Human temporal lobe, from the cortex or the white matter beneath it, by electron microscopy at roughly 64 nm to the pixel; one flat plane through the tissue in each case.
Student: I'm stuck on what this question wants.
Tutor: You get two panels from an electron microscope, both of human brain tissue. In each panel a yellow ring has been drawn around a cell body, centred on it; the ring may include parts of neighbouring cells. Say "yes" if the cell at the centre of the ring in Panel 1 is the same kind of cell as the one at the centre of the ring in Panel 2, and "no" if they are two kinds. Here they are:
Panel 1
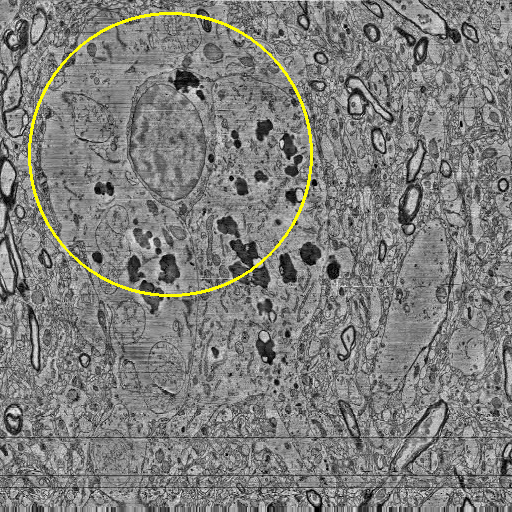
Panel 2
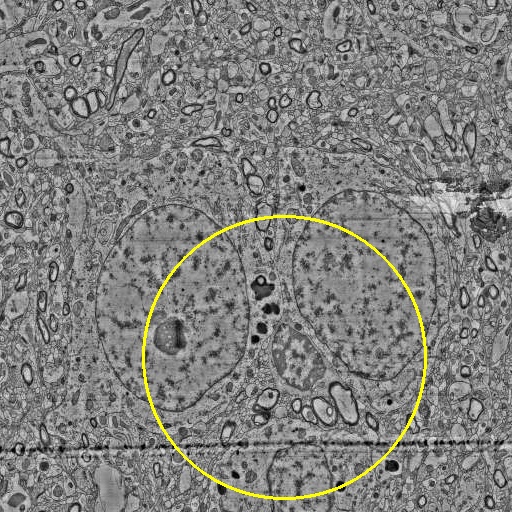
yes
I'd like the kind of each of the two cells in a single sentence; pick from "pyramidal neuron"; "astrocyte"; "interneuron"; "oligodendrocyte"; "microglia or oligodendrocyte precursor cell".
The second cell is an oligodendrocyte, just as the first is.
